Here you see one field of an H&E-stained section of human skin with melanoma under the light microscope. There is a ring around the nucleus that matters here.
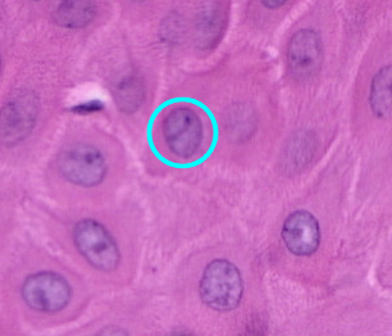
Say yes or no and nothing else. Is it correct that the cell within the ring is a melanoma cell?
no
